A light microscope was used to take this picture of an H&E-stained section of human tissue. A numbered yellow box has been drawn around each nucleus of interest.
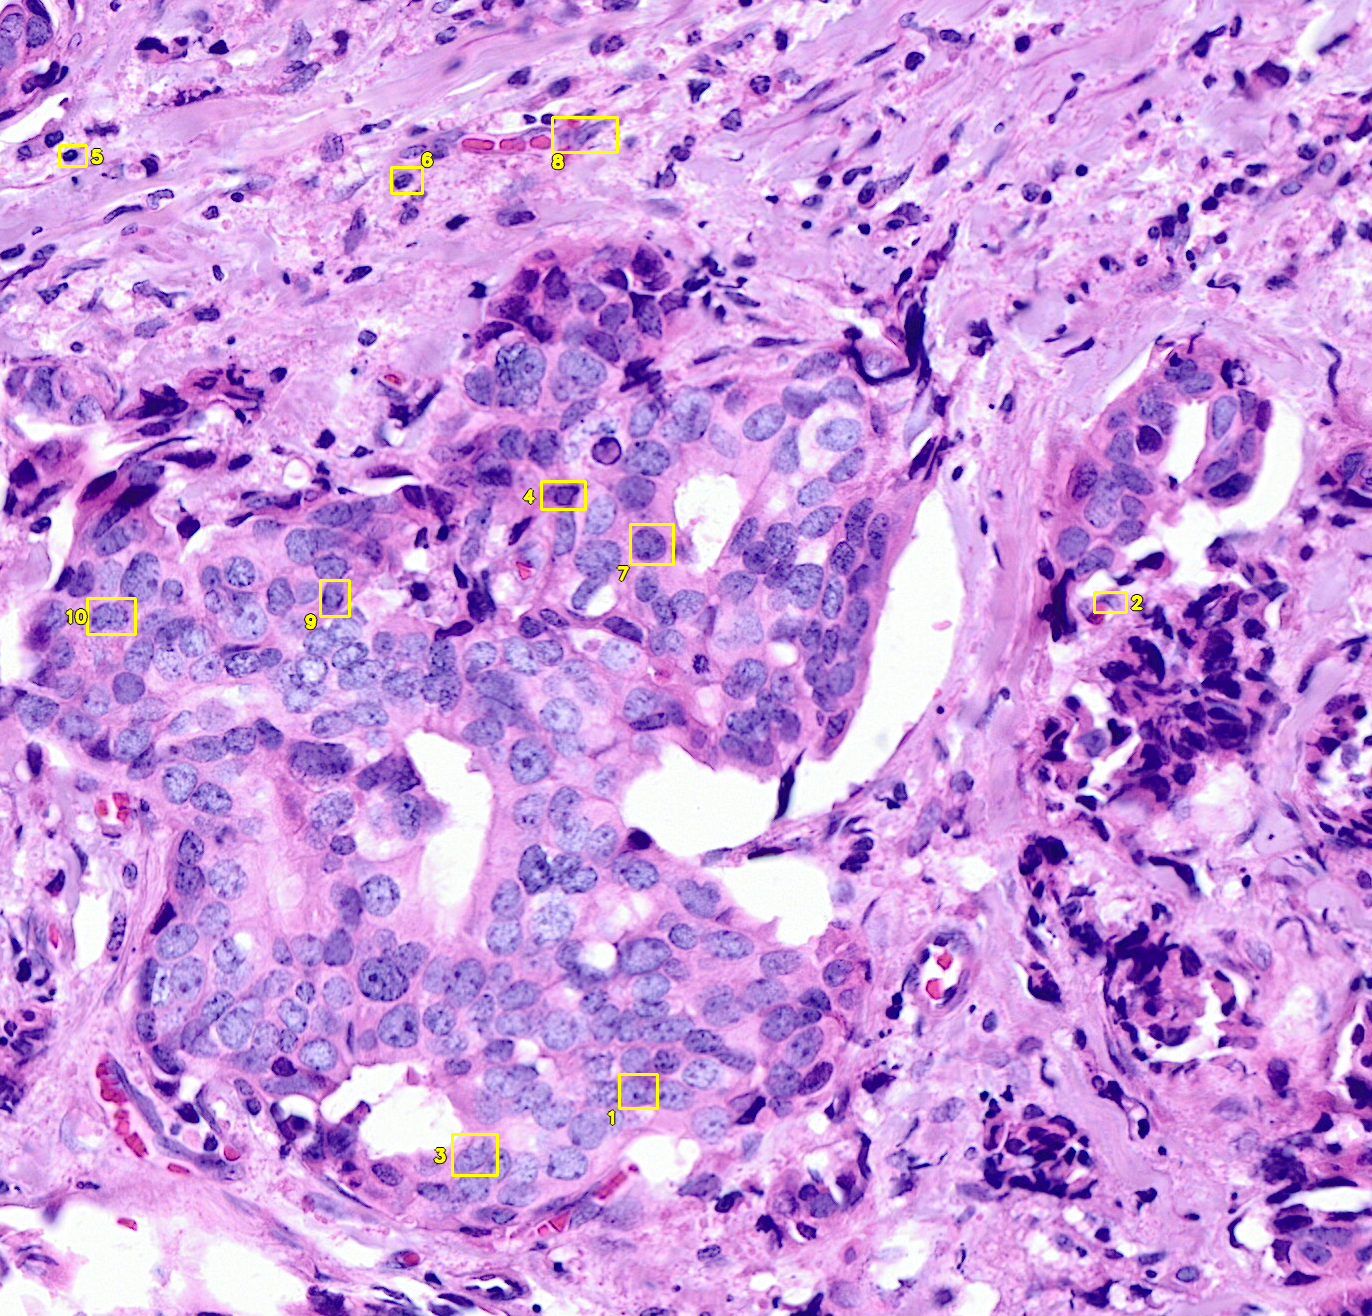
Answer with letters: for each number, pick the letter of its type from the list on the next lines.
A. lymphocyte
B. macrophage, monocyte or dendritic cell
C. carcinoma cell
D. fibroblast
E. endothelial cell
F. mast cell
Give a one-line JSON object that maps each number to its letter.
{"1": "C", "2": "E", "3": "C", "4": "C", "5": "A", "6": "A", "7": "C", "8": "E", "9": "C", "10": "C"}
